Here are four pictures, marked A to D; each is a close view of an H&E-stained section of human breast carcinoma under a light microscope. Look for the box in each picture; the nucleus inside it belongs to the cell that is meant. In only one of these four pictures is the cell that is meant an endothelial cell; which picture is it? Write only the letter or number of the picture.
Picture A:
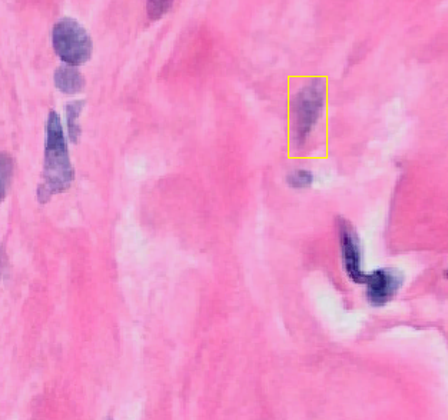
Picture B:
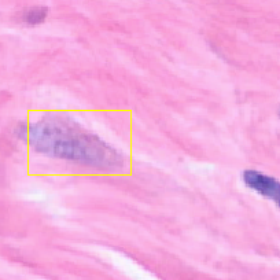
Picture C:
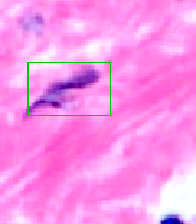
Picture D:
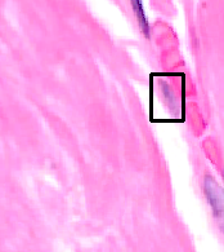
D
